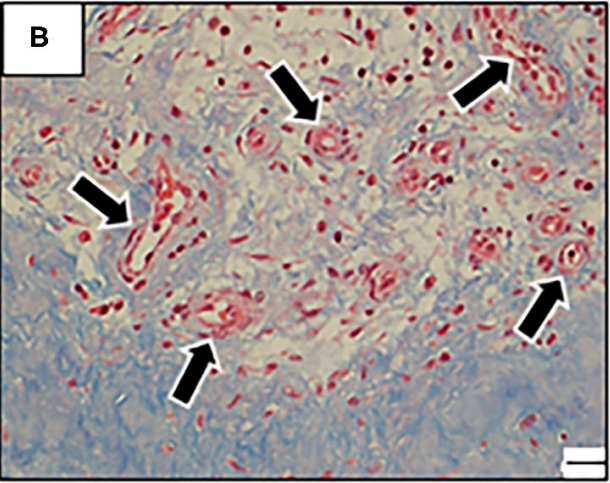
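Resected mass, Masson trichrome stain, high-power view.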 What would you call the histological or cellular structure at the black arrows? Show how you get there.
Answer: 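The arrows point to many small round and oval vessel profiles with central lumina. Each profile has a red-staining wall with plump nuclei. The vessels lie scattered in a loose, pale and blue-staining stroma. The answer: proliferating neovascularization.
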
